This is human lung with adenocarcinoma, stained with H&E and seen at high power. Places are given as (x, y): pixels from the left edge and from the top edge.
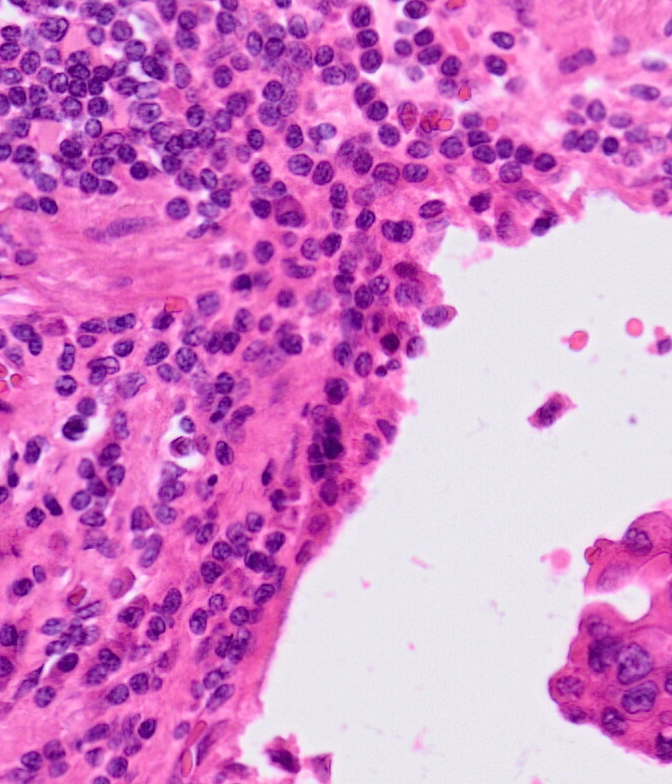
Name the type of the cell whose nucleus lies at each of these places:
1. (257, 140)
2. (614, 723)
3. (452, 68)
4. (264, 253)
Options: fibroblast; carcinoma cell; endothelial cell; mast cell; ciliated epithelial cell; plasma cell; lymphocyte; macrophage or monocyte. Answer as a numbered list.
1. lymphocyte
2. carcinoma cell
3. lymphocyte
4. lymphocyte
